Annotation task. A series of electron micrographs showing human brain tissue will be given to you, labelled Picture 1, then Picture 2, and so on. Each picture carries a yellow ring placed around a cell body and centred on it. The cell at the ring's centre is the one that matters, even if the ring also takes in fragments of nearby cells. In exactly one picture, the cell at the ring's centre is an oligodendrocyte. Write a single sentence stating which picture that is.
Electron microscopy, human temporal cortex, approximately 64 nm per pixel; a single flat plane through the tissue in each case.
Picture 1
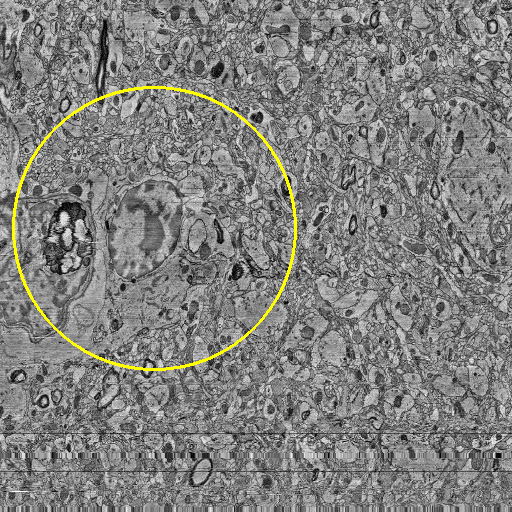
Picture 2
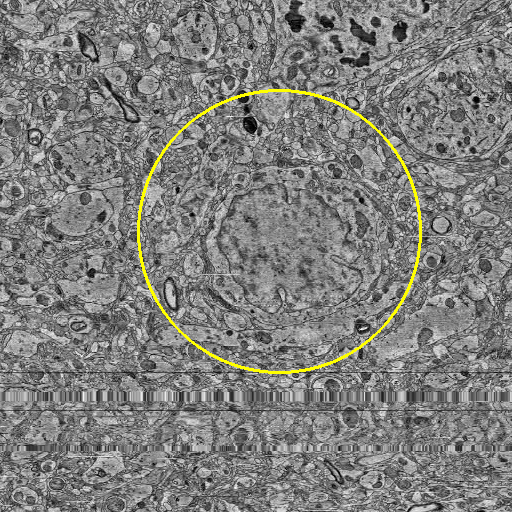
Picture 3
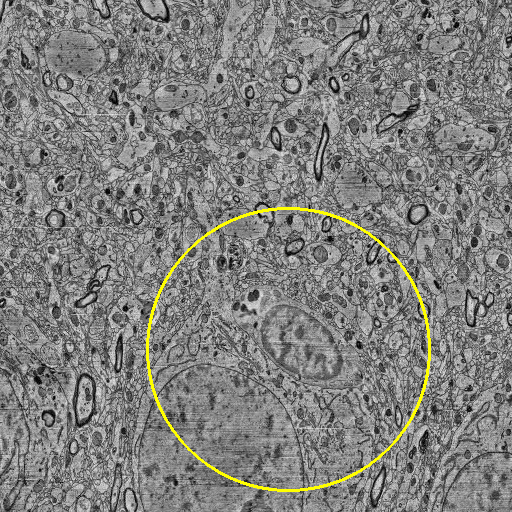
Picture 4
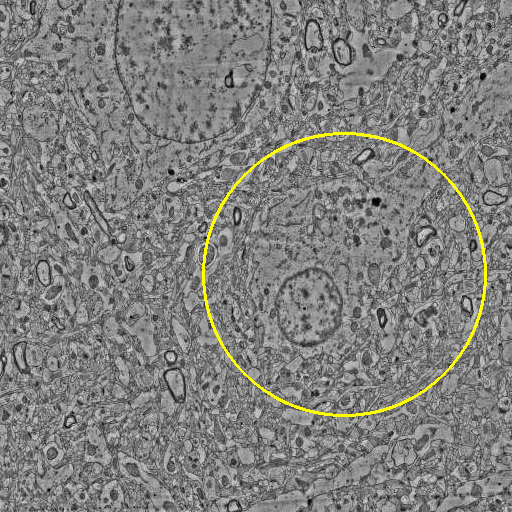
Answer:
Picture 3 holds the requested cell at the very centre of its ring.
